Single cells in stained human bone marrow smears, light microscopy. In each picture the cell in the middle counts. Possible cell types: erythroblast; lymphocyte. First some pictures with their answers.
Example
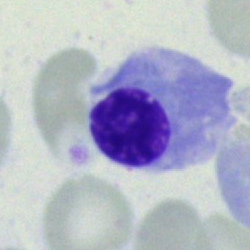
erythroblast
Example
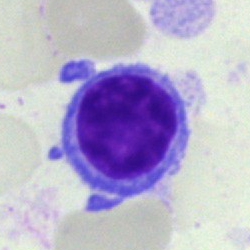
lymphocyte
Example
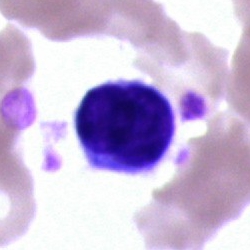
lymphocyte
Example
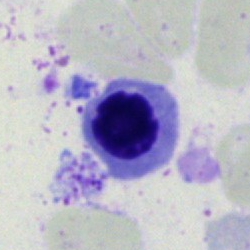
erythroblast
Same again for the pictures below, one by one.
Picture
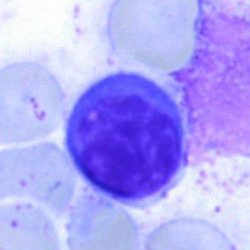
lymphocyte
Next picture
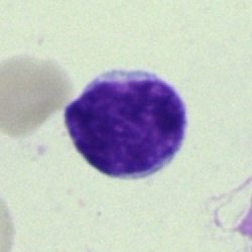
lymphocyte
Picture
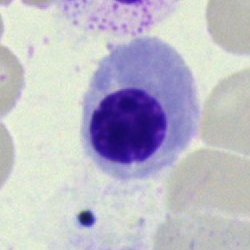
erythroblast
